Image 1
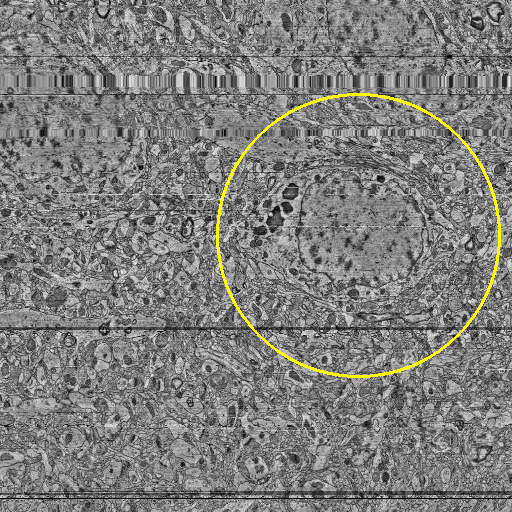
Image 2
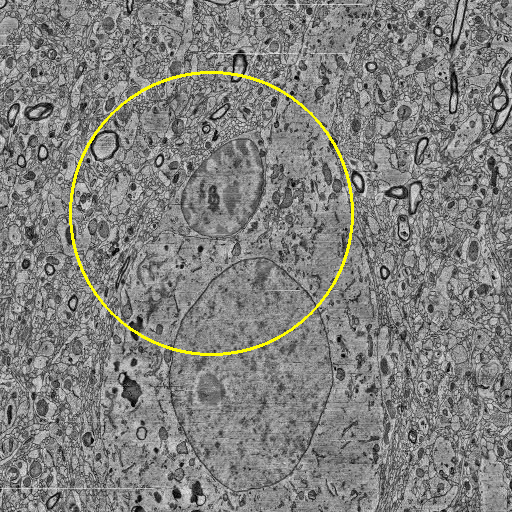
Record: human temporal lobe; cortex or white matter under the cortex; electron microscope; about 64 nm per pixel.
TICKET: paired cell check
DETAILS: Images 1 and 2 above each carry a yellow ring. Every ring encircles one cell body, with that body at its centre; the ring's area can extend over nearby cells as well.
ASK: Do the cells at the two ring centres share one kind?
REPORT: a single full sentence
No, the ring-centre cells of Images 1 and 2 belong to two kinds.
